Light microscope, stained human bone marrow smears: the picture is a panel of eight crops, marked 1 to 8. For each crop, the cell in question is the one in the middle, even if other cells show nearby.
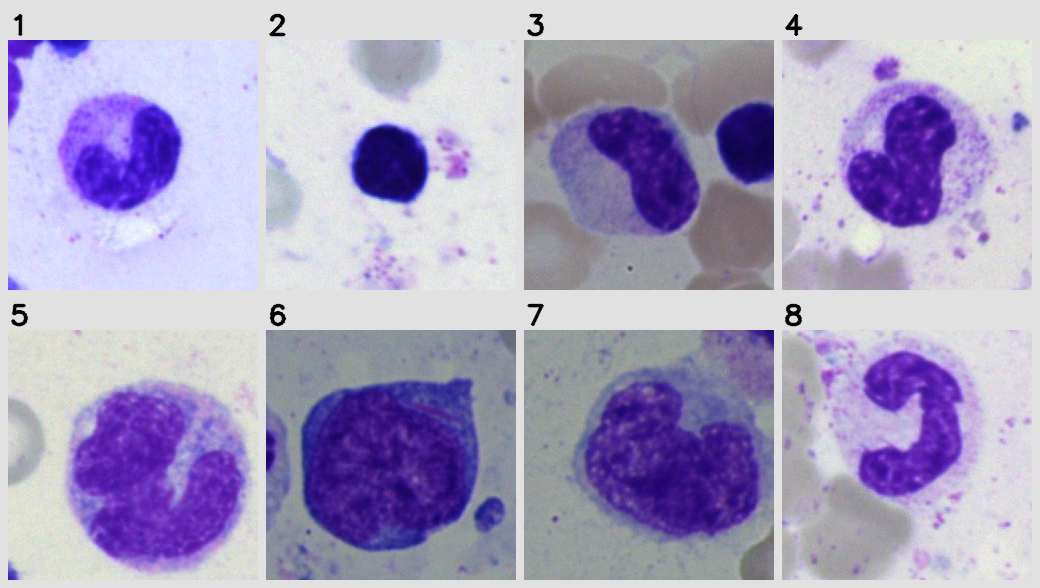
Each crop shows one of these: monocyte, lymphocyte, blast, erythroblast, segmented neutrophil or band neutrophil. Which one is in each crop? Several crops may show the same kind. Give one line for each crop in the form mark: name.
1: band neutrophil
2: lymphocyte
3: band neutrophil
4: band neutrophil
5: monocyte
6: blast
7: monocyte
8: band neutrophil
